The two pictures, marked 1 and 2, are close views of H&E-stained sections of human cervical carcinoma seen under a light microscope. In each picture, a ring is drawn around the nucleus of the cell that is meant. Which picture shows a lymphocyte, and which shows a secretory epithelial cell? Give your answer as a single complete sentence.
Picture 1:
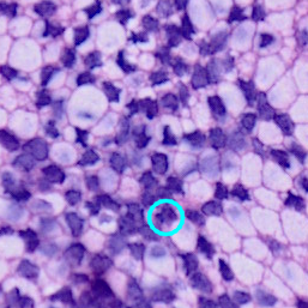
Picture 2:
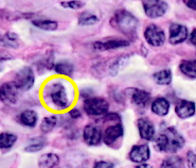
Picture 1 is of a secretory epithelial cell, and picture 2 is of a lymphocyte.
